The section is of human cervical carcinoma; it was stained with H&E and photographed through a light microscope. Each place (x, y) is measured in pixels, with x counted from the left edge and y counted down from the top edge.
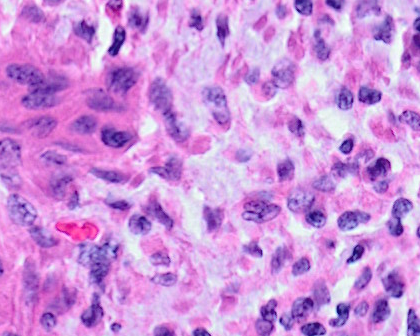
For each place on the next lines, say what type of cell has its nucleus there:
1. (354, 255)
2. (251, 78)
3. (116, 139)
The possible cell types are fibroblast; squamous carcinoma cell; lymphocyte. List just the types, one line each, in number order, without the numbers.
lymphocyte
fibroblast
squamous carcinoma cell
